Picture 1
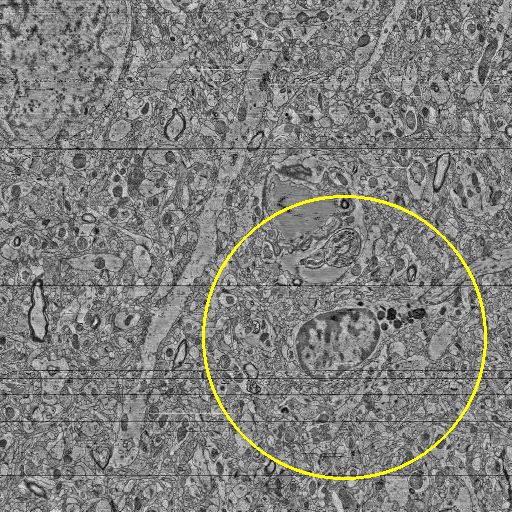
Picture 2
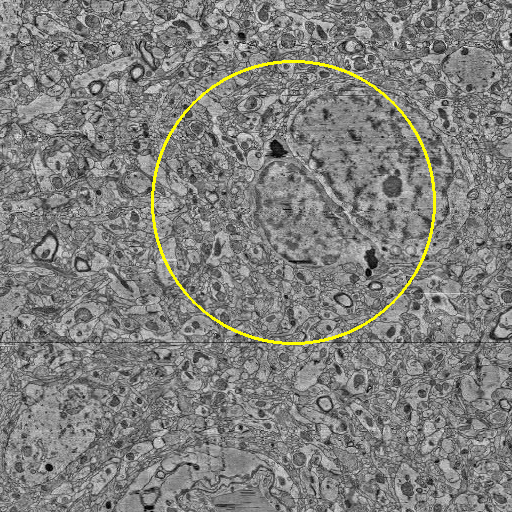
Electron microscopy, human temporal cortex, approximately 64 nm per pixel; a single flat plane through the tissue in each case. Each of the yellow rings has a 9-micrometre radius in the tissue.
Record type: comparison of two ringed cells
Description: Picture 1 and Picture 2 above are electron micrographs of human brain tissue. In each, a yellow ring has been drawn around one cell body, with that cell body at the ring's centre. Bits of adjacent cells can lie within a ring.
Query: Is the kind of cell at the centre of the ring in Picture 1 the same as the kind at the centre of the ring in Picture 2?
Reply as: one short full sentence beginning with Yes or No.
No, the two ringed cells are of two separate kinds.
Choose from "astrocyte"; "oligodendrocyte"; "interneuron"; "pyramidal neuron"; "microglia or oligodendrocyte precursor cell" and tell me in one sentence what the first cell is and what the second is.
What the first ring is centred on is a microglial cell or oligodendrocyte precursor cell; what the second ring is centred on is an oligodendrocyte.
